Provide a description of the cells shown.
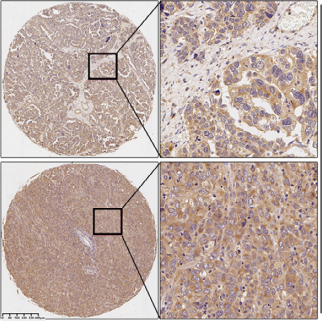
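In the upper pair the cells lie in irregular nests and cords separated by thin pale strands of stroma; the tumour cells are polygonal with ample brown cytoplasm and rounded, blue nuclei, some of them large. In the lower pair the tumour forms a more solid sheet and the whole core is brown, the cells packed closely with their blue nuclei set in evenly stained cytoplasm. The stromal strands stain more weakly than the tumour cells.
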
